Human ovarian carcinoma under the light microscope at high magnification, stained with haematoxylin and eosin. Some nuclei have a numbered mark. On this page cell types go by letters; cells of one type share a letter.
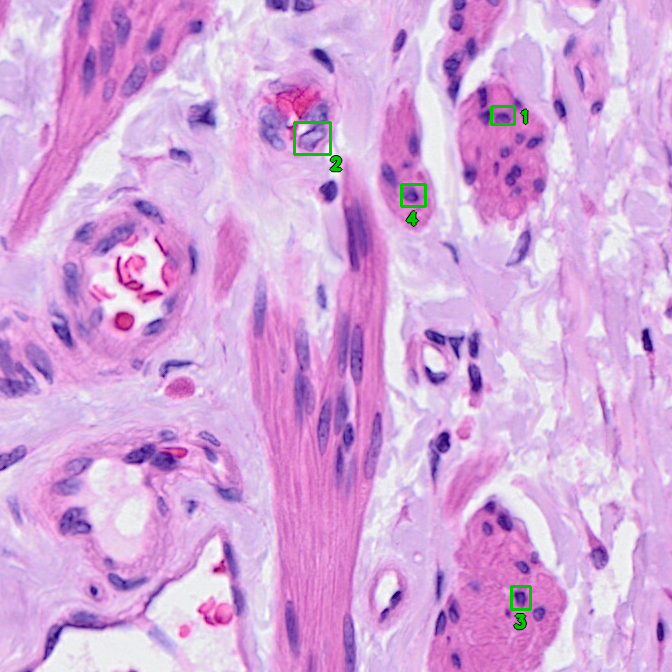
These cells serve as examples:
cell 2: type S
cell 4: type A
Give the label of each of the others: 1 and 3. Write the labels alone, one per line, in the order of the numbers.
type A
type A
